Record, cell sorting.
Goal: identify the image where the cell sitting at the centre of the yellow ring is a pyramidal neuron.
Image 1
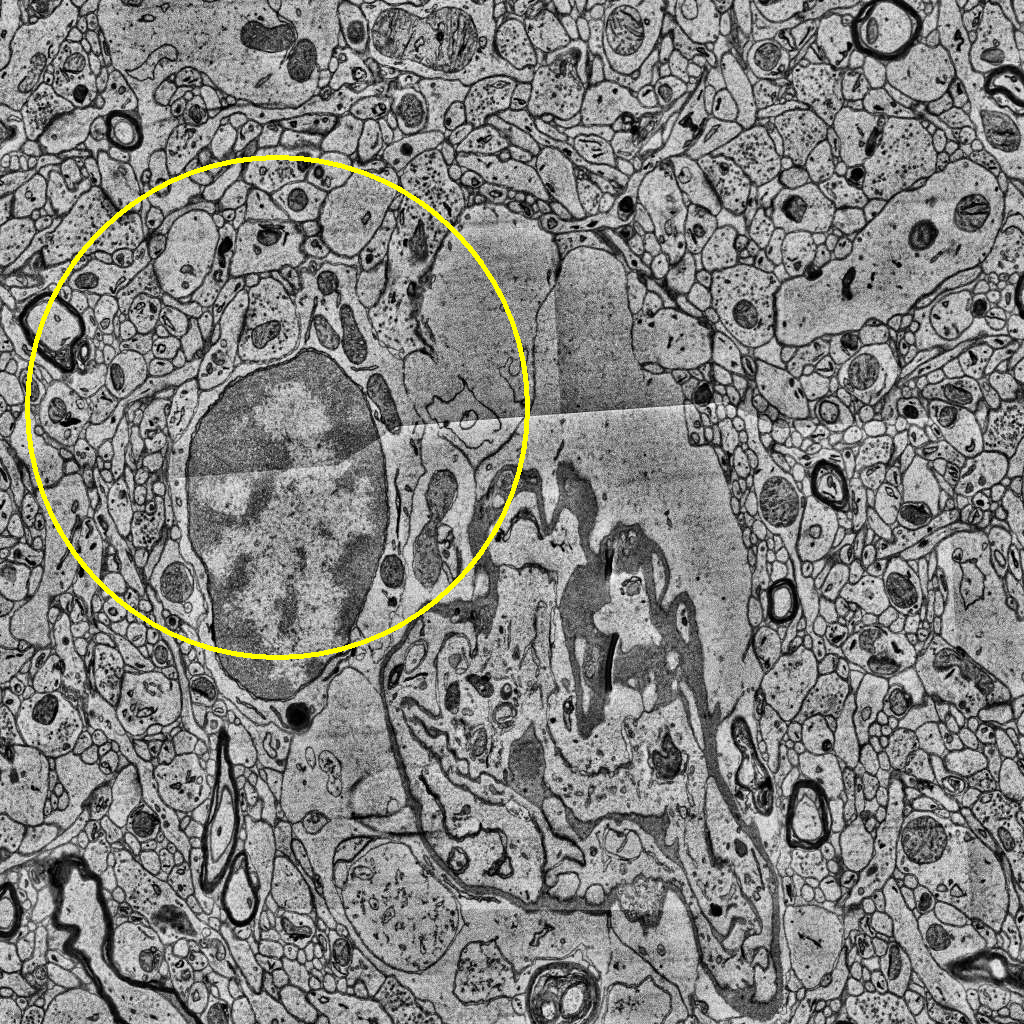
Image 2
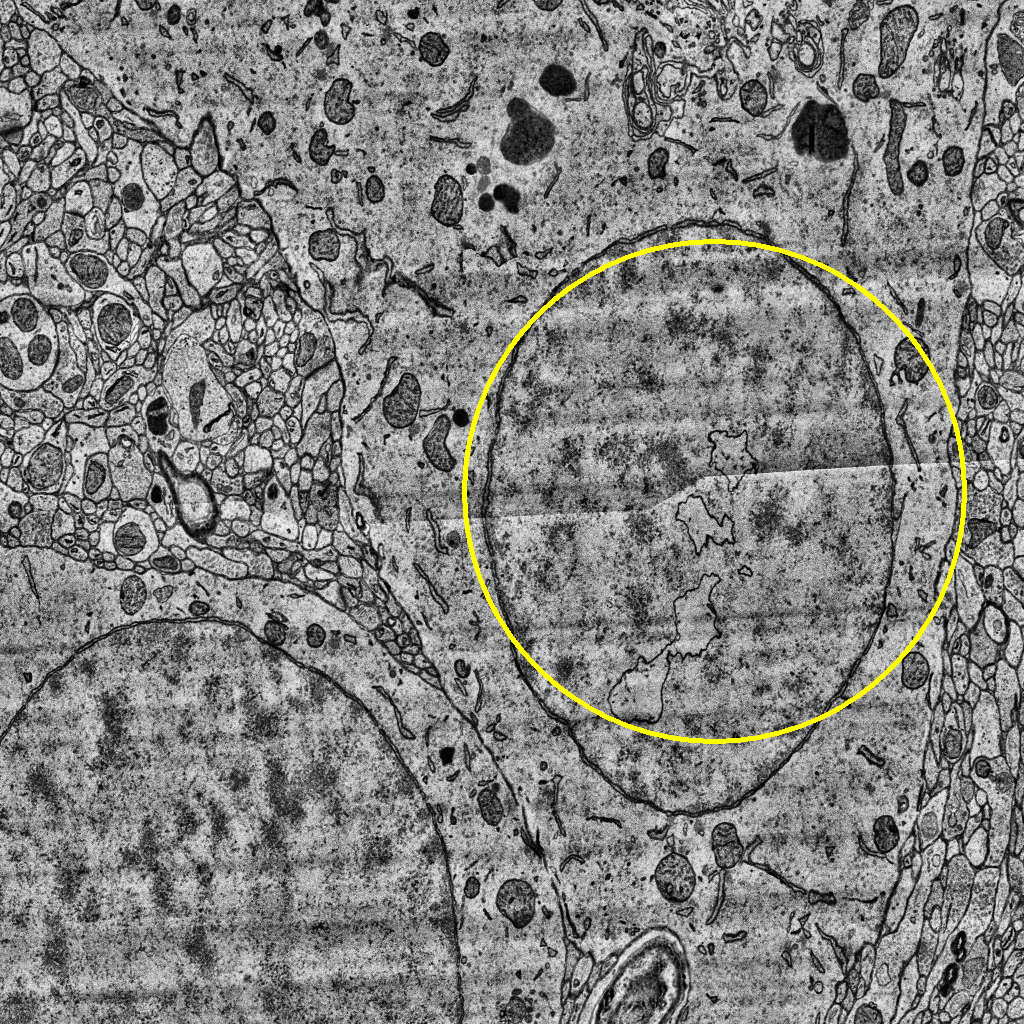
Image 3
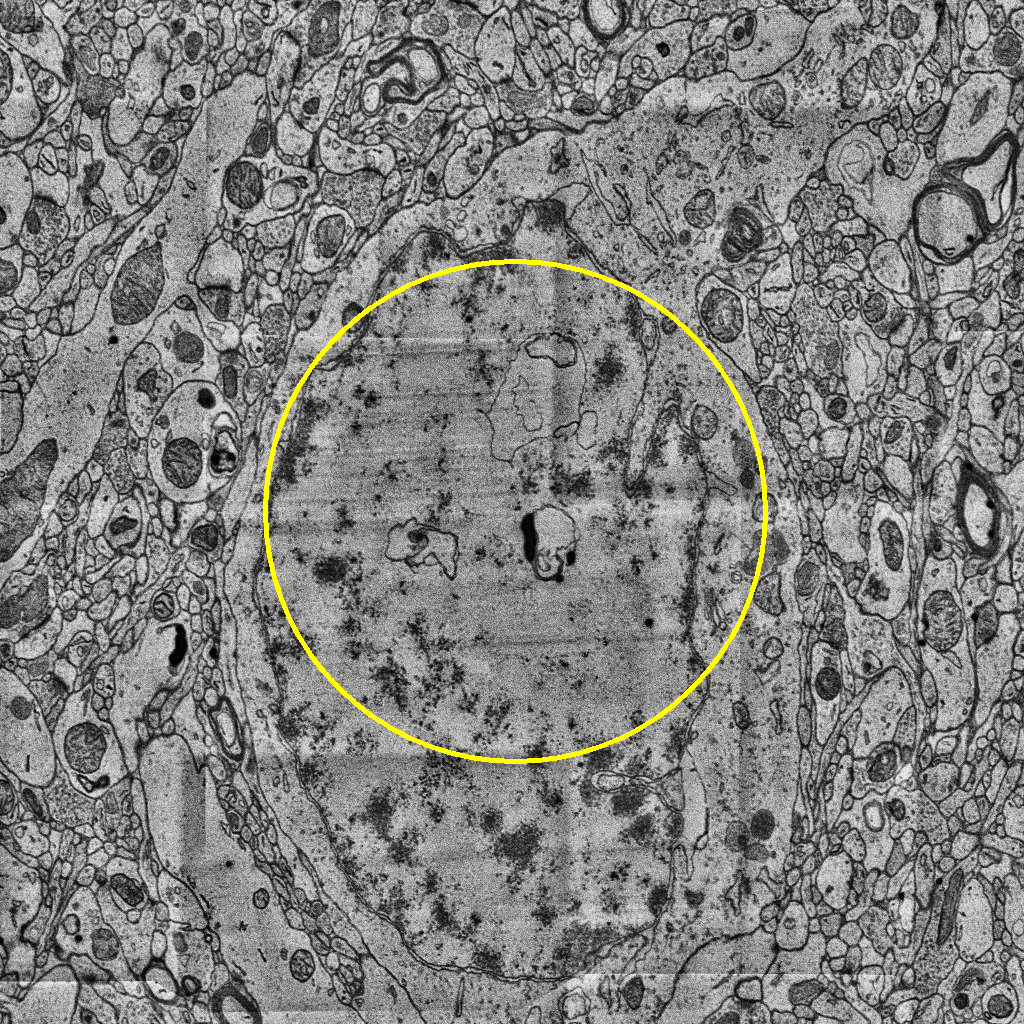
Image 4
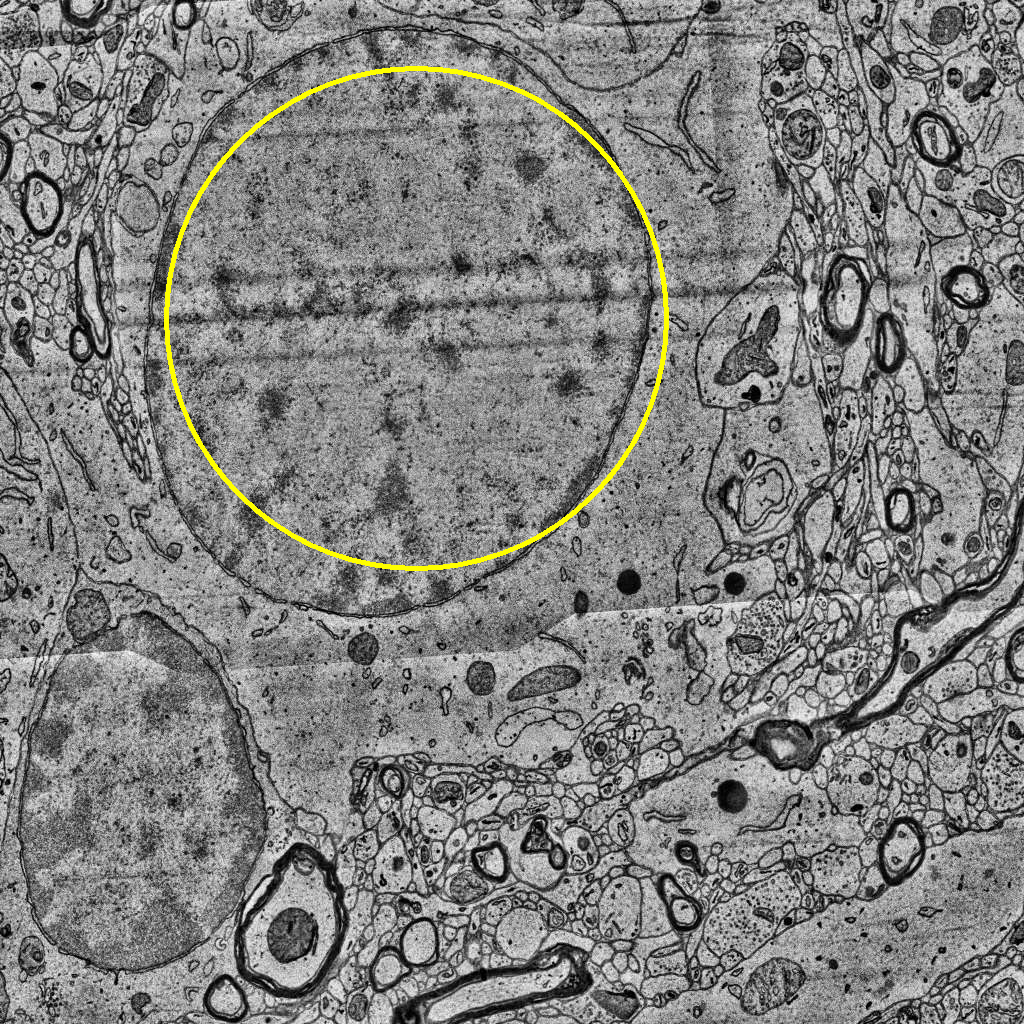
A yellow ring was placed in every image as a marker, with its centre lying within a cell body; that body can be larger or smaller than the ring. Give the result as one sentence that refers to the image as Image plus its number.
Image 2 shows the requested cell sitting right at the centre of its ring.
